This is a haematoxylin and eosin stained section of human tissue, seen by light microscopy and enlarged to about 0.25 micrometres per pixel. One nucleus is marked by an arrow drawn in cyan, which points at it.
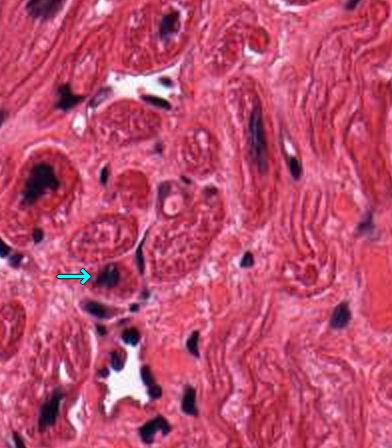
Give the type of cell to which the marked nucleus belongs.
cardiomyocyte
